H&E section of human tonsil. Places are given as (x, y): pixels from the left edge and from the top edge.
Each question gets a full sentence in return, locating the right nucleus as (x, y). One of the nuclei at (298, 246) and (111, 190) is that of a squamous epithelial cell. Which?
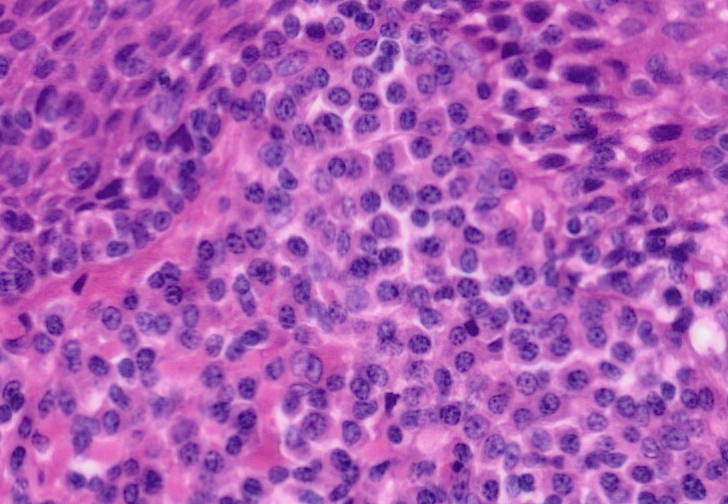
So, of the two, the nucleus at (111, 190) is the one belonging to a squamous epithelial cell.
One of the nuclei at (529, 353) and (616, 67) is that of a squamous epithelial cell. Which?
Located at (616, 67), this nucleus is the one belonging to a squamous epithelial cell.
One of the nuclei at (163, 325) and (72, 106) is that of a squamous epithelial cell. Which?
The nucleus at (72, 106) is housed in a squamous epithelial cell.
